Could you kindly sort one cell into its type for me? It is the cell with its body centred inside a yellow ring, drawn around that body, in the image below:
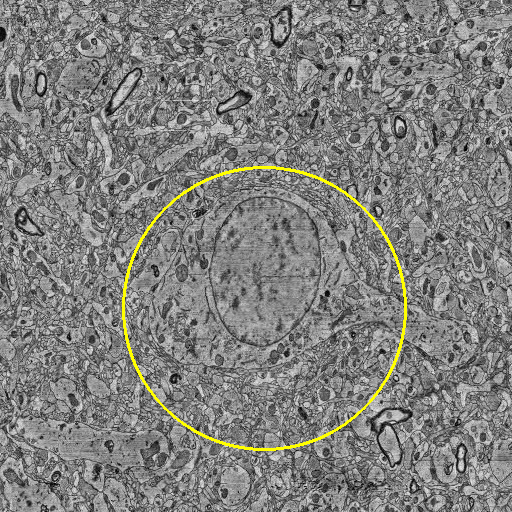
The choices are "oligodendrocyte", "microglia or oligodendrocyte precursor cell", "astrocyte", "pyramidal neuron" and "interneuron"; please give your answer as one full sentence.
The cell whose body lies centred in the yellow ring here is a pyramidal neuron.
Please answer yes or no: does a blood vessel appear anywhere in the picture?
No, no blood vessel can be seen.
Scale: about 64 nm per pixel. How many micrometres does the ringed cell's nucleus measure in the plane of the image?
In this plane, about 10 micrometres in length and 7 in width.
